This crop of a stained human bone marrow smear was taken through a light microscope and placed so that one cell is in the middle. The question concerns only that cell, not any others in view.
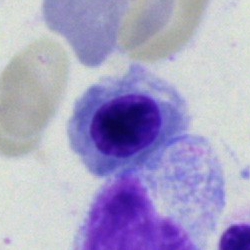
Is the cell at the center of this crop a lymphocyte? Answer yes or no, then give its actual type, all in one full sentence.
No, the centre of the crop contains a normoblast rather than a lymphocyte.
